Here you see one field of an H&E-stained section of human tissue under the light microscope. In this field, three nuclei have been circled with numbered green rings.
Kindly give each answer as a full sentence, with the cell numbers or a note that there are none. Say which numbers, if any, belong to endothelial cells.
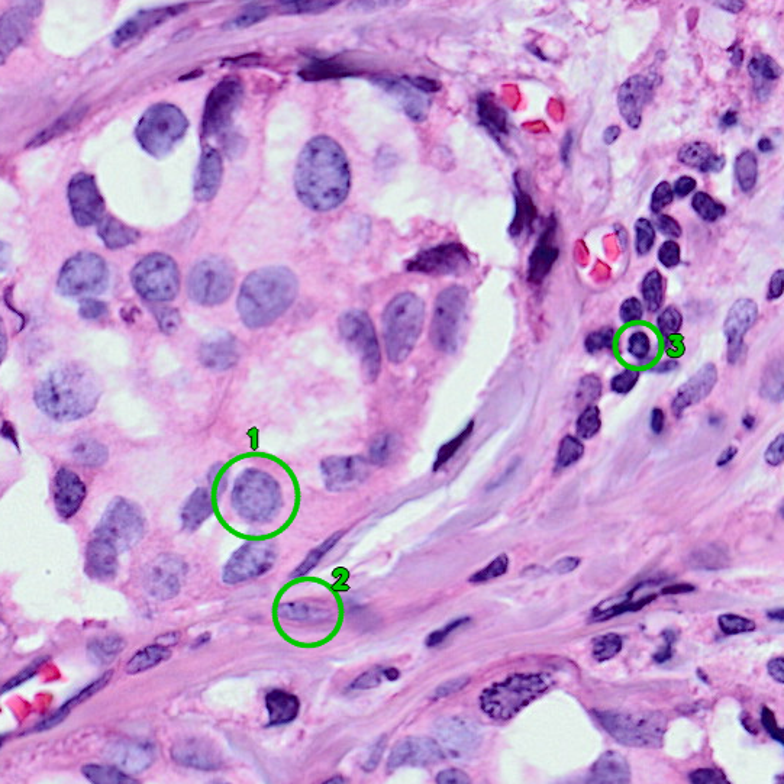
Of all the cells bearing numbers, cell 2 is the only one that is an endothelial cell.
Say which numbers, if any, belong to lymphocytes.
There is just one numbered cell that is a lymphocyte, and it is cell 3.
